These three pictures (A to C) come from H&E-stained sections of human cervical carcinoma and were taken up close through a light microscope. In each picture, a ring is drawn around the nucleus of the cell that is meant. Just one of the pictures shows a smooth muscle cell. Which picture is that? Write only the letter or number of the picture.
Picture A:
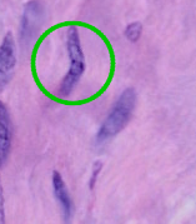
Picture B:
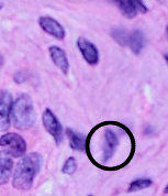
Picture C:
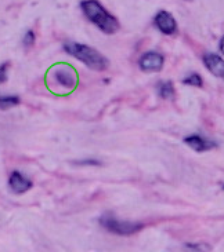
C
